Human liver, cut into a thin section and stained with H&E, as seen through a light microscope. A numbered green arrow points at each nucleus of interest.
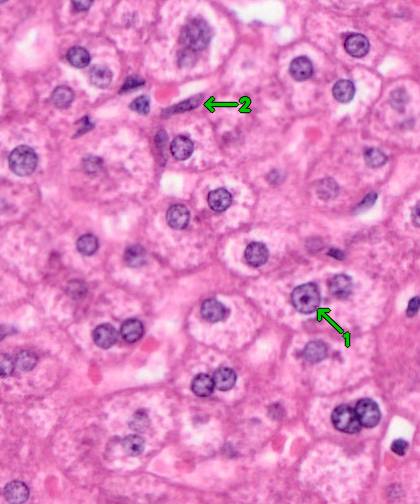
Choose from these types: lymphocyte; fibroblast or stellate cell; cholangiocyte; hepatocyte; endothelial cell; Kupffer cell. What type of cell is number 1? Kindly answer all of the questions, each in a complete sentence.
Cell 1 should be recorded as a hepatocyte.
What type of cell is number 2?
Among the marked cells, number 2 is a Kupffer cell.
